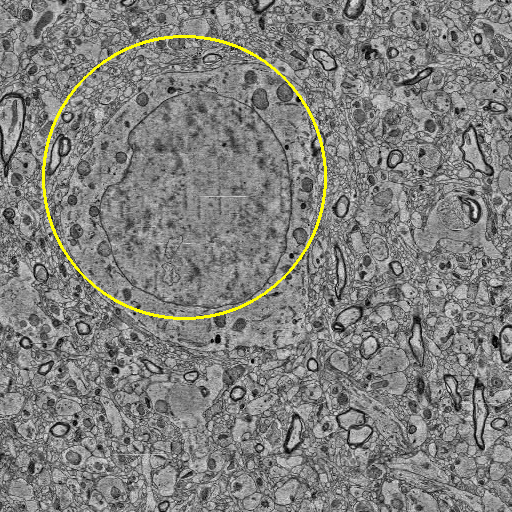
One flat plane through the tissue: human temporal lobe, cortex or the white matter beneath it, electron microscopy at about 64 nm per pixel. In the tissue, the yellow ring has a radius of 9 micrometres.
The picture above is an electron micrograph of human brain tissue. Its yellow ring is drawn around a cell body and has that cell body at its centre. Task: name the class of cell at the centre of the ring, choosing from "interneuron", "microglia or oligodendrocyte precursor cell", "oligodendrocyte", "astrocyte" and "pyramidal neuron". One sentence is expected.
The ring surrounds the body of a pyramidal neuron.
